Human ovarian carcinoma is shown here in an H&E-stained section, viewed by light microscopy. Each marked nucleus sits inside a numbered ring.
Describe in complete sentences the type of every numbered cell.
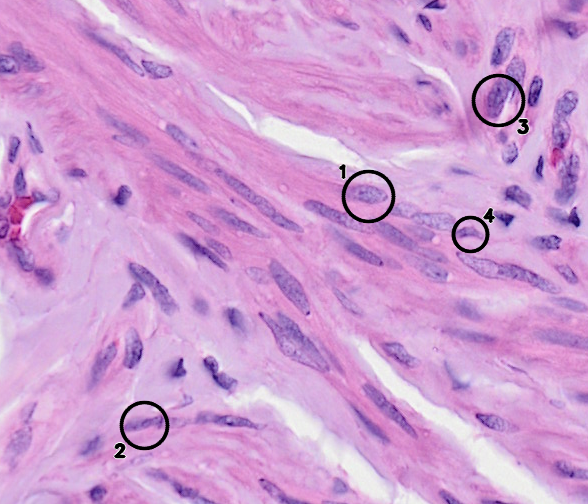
Cells 1, 2 and 4 are smooth muscle cells. Cell 3 is an endothelial cell.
